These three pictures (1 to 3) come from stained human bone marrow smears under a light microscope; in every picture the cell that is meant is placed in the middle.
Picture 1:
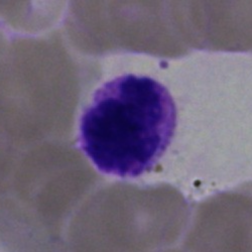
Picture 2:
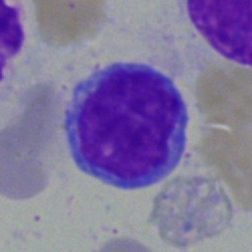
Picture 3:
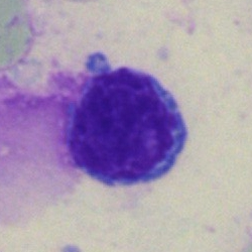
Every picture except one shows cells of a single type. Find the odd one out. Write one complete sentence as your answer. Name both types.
Unlike the rest, which show lymphocytes, picture 1 shows a basophil.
